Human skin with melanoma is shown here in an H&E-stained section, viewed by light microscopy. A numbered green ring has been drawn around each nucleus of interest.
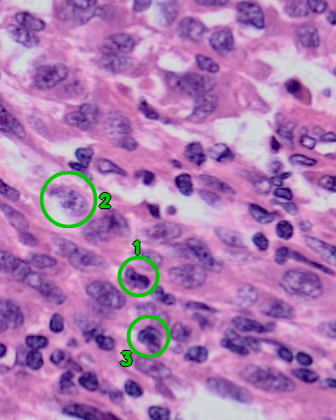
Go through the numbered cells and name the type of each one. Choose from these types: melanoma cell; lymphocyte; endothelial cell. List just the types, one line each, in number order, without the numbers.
lymphocyte
melanoma cell
lymphocyte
